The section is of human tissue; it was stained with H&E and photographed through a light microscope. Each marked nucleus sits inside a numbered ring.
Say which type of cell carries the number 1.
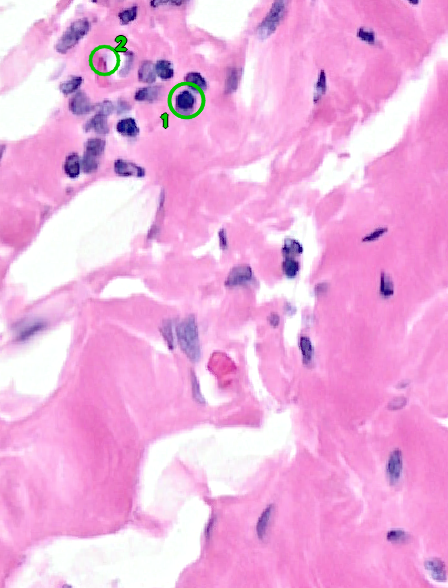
lymphocyte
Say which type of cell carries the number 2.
endothelial cell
